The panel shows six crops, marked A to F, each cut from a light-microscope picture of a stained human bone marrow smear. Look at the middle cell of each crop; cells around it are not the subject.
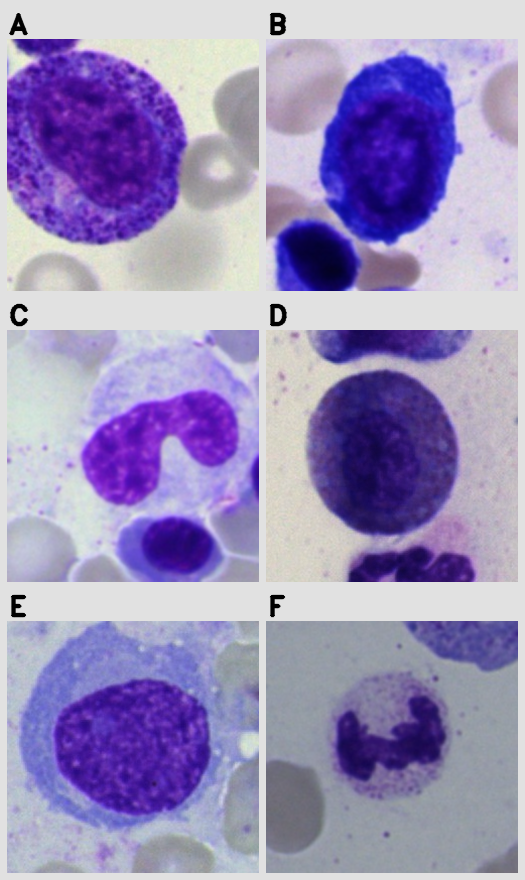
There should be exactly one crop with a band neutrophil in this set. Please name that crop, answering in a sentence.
Among all the crops given here, the one with a band neutrophil is crop C.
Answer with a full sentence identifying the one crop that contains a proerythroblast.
Look at crop B; that is the one with a proerythroblast in its center.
